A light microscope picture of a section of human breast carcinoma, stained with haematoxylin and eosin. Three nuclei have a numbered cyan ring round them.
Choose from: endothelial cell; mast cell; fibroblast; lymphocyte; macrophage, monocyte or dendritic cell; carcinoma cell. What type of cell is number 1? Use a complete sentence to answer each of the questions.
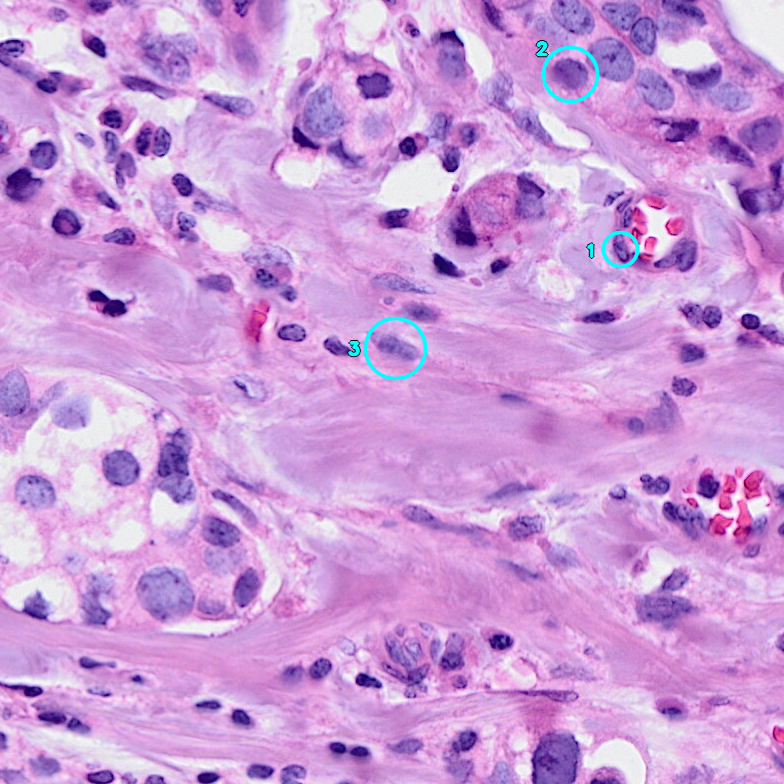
Among the marked nuclei, number 1 belongs to an endothelial cell.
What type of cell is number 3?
Cell 3 is classified as a fibroblast.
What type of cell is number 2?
The marked nucleus 2 is that of a carcinoma cell.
